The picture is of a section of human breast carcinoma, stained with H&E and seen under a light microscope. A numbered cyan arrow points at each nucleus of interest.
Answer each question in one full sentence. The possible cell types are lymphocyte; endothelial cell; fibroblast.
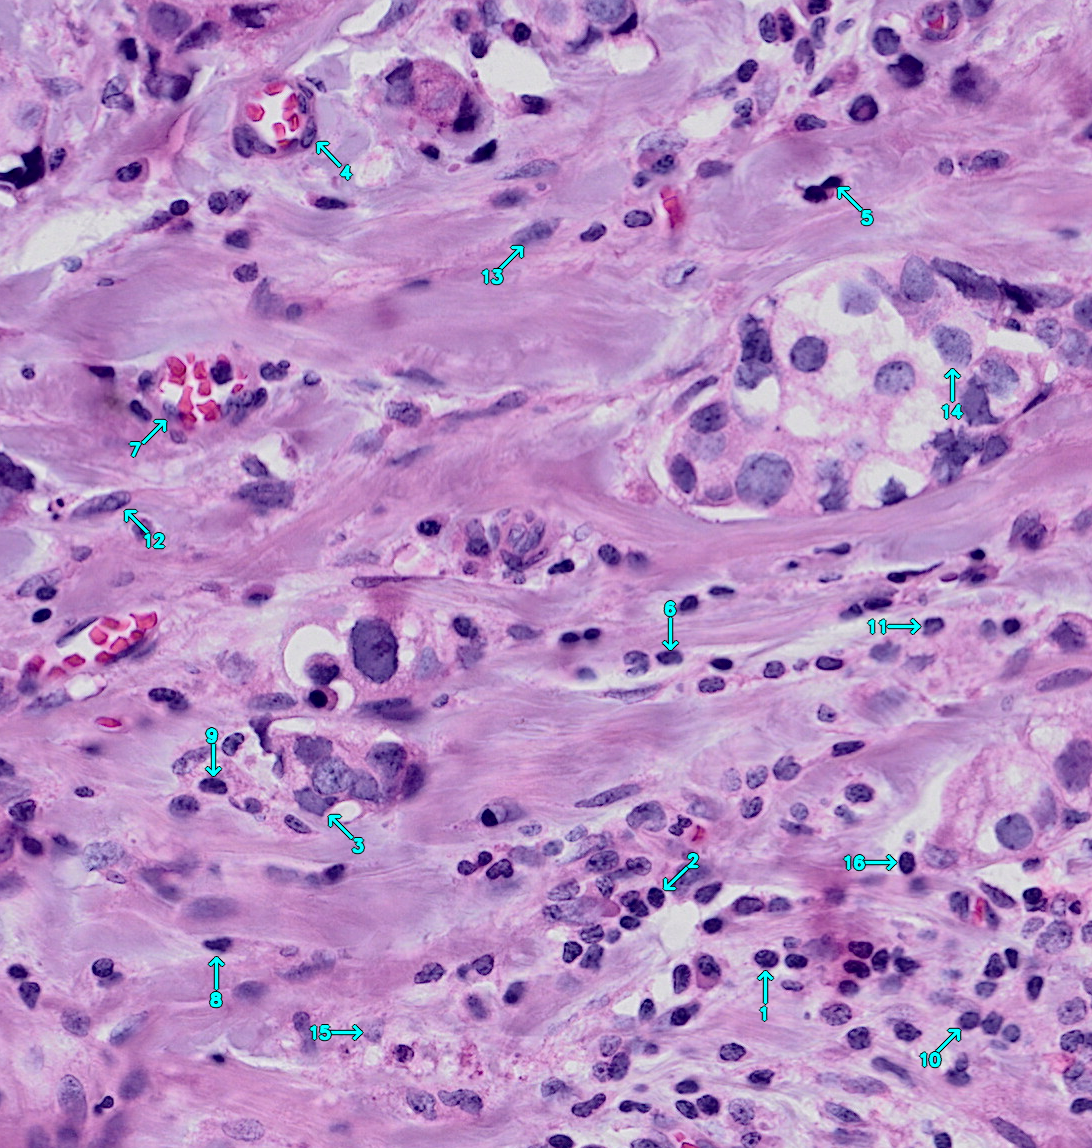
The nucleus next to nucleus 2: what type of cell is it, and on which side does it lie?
Lying below and to the left of nucleus 2, the nearest nucleus is that of a lymphocyte.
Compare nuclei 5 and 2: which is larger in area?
Nucleus 2 is the larger one, covering about 1.5 times the area of nucleus 5.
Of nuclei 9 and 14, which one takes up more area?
The larger nucleus is 14, at roughly 3 times the area of 9.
